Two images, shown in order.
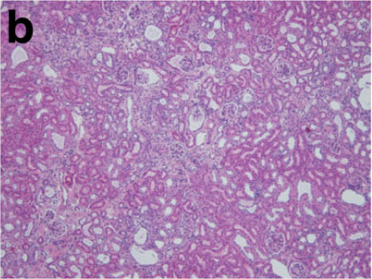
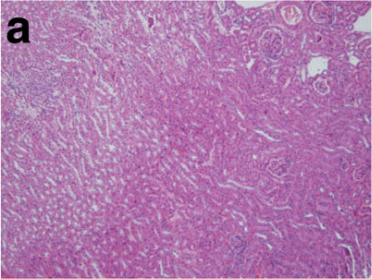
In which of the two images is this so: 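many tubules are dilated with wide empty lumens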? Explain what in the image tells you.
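The first image. First image: numerous tubules show wide, open, empty lumens across the field. Second image: tubules are compact with narrow lumens, only a few open spaces.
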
